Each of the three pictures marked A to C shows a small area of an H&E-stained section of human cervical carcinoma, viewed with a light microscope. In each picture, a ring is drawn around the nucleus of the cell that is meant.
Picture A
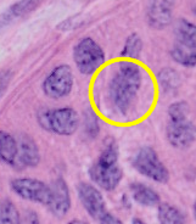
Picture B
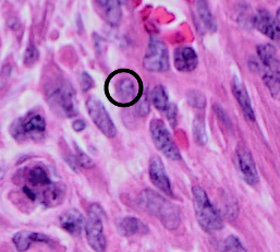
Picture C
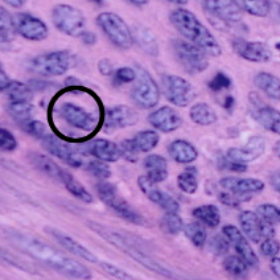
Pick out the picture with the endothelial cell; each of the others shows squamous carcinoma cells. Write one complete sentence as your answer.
The cell in picture B is the endothelial cell.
